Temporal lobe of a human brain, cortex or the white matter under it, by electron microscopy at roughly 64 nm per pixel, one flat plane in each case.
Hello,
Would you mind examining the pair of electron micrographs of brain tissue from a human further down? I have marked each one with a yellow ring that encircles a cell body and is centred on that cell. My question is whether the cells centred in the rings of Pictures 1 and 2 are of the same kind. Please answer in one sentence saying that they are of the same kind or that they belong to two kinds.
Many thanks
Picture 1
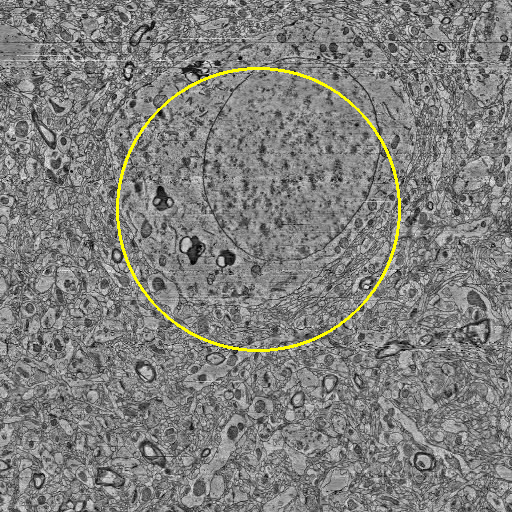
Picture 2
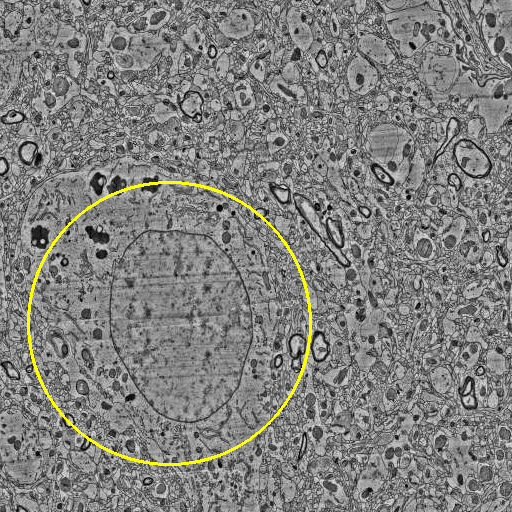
In Pictures 1 and 2, the cells at the heart of the rings are of the same kind.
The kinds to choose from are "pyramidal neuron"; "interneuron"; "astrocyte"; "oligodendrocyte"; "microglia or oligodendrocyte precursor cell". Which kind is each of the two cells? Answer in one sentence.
Each cell at the centre of a ring is a pyramidal neuron.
